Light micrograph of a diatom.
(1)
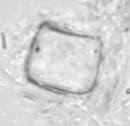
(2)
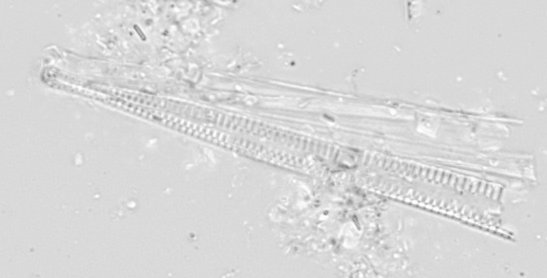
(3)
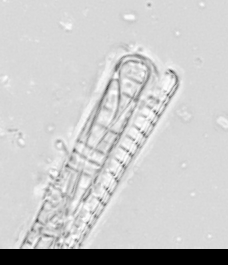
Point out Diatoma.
That is picture 3.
